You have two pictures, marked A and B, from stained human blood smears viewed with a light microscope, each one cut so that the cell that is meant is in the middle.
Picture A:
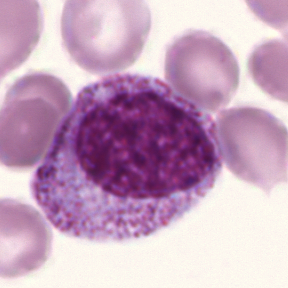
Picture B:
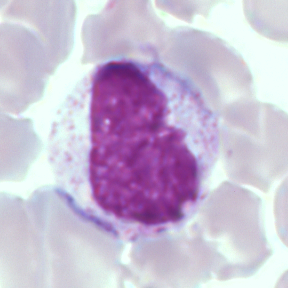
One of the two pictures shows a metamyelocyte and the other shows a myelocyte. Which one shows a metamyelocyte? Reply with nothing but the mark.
B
